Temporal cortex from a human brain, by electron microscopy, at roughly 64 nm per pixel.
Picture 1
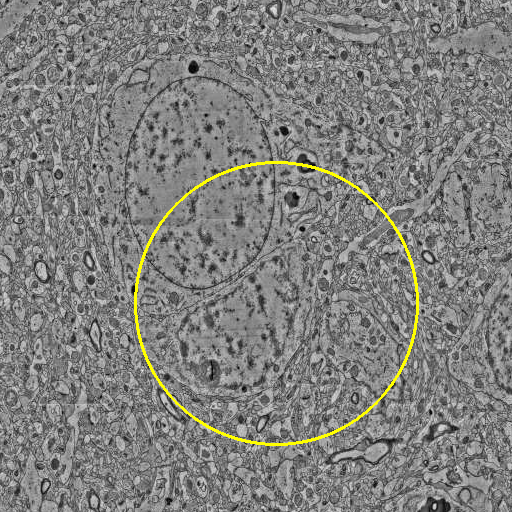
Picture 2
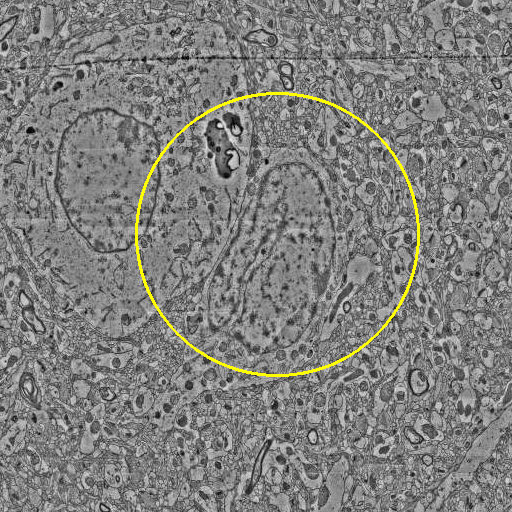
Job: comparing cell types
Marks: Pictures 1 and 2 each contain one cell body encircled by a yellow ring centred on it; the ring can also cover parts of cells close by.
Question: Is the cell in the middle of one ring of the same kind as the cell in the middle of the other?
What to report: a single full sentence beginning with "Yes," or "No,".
Yes, the cell at the ring centre in Picture 1 and its partner in Picture 2 are of one kind.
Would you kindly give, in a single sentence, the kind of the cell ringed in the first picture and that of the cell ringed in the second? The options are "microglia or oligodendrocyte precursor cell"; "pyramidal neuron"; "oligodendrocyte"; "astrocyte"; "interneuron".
Each of the two rings surrounds an interneuron.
